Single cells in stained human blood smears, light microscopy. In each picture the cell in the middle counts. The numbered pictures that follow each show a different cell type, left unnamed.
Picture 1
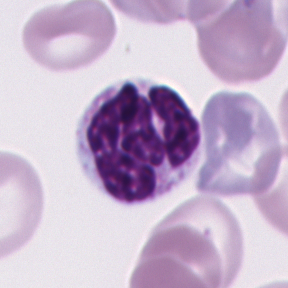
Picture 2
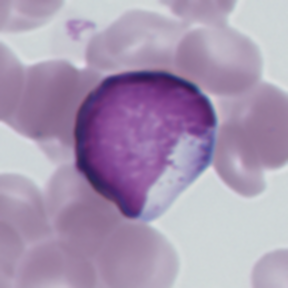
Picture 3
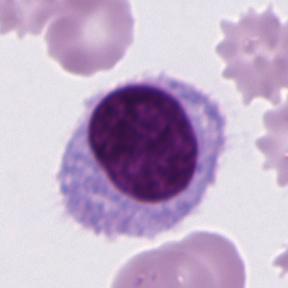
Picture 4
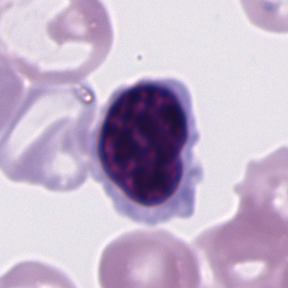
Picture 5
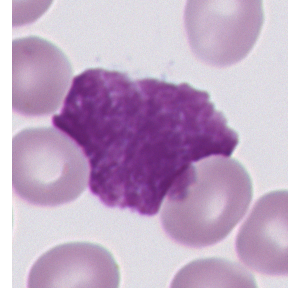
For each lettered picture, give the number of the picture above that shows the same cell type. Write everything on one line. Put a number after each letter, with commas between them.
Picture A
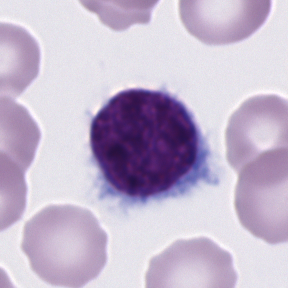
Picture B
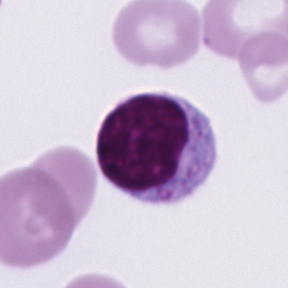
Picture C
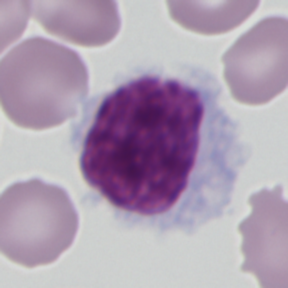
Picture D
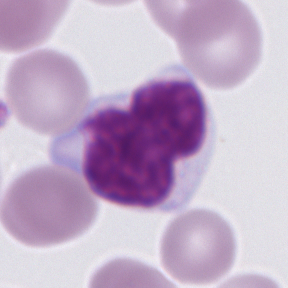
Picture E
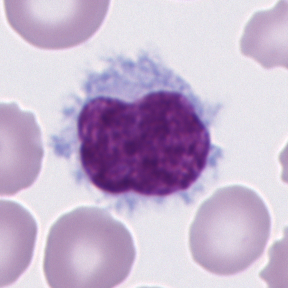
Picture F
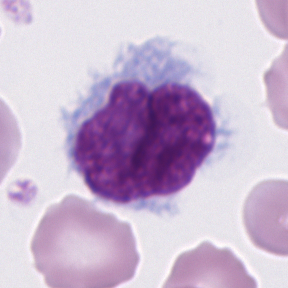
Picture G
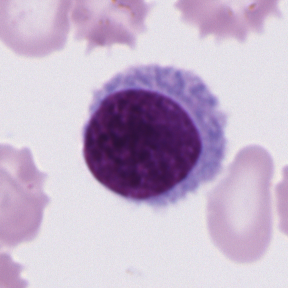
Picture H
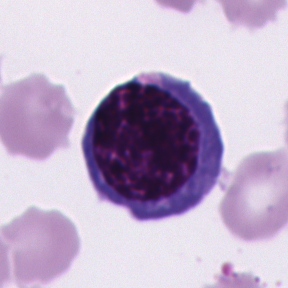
A 3, B 2, C 3, D 2, E 3, F 3, G 3, H 4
